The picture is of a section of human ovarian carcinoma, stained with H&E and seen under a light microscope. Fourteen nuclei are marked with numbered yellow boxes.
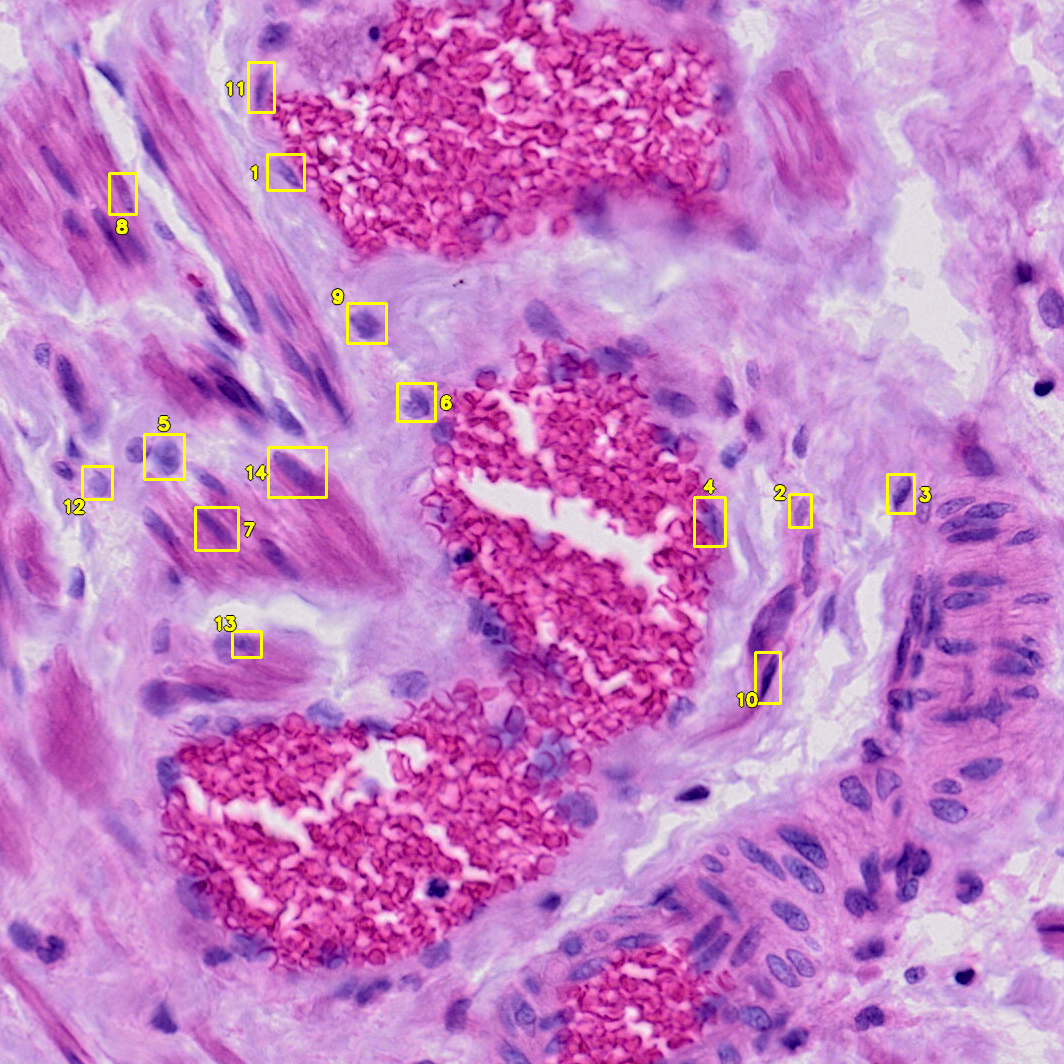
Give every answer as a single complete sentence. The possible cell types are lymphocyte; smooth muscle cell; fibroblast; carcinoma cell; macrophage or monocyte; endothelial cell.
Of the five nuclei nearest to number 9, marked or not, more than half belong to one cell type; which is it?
Most of the five nuclei nearest to number 9 are those of smooth muscle cells.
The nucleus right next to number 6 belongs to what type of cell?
Number 6 lies closest to the nucleus of an endothelial cell.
